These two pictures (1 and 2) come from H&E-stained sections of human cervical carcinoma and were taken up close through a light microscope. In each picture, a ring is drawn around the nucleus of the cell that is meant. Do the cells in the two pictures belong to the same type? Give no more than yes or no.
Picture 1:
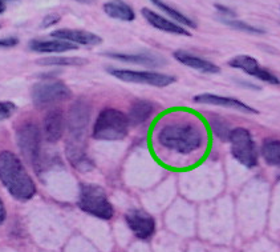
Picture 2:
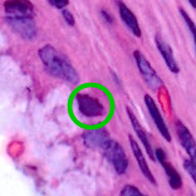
yes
